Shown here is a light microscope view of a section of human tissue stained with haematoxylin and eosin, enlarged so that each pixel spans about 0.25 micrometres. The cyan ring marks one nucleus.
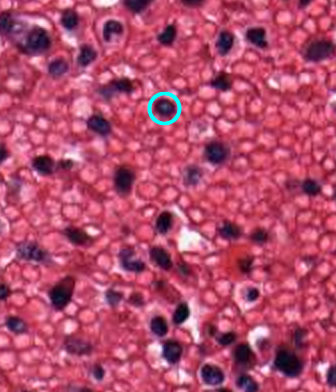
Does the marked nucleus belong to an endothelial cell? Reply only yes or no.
no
